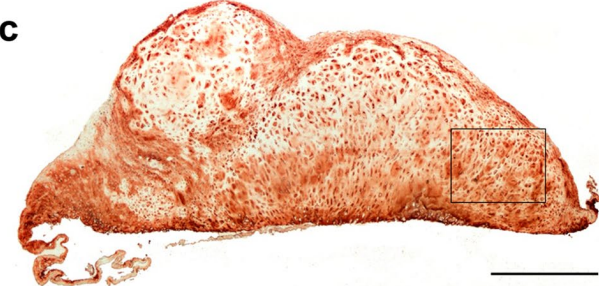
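This is a section through the same kind of cartilage nodule, stained reddish-brown, with numerous small rounded chondrocytes dispersed through the tissue. The stain is strongest around the cells and along the outer margin, while broad areas of matrix in the upper centre stay pale.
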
